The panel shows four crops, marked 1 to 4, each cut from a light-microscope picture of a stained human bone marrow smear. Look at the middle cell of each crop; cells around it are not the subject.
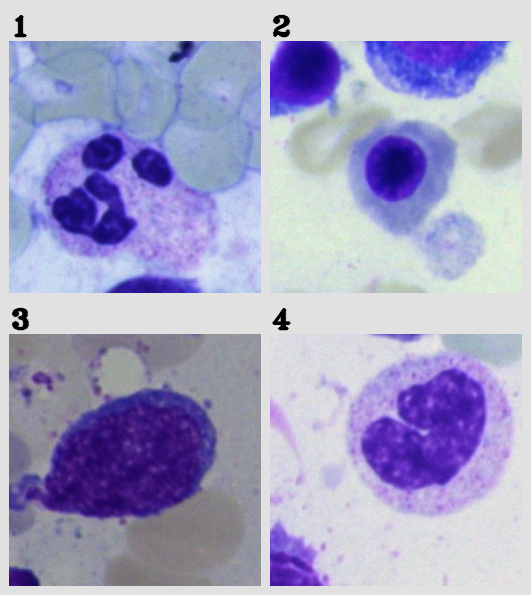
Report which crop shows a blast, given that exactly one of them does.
3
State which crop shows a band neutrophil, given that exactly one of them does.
4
